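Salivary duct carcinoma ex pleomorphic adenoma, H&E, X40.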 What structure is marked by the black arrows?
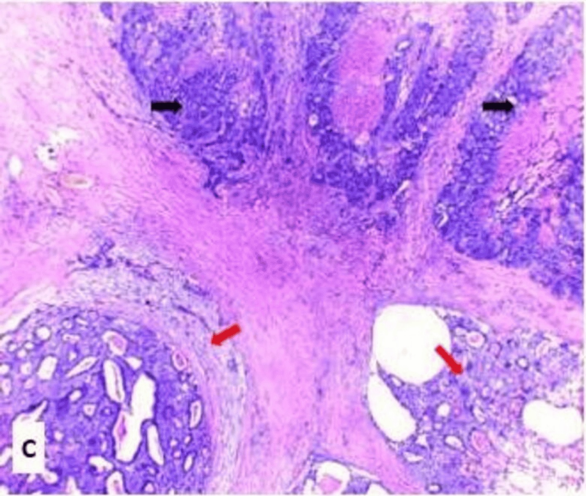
invasive component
